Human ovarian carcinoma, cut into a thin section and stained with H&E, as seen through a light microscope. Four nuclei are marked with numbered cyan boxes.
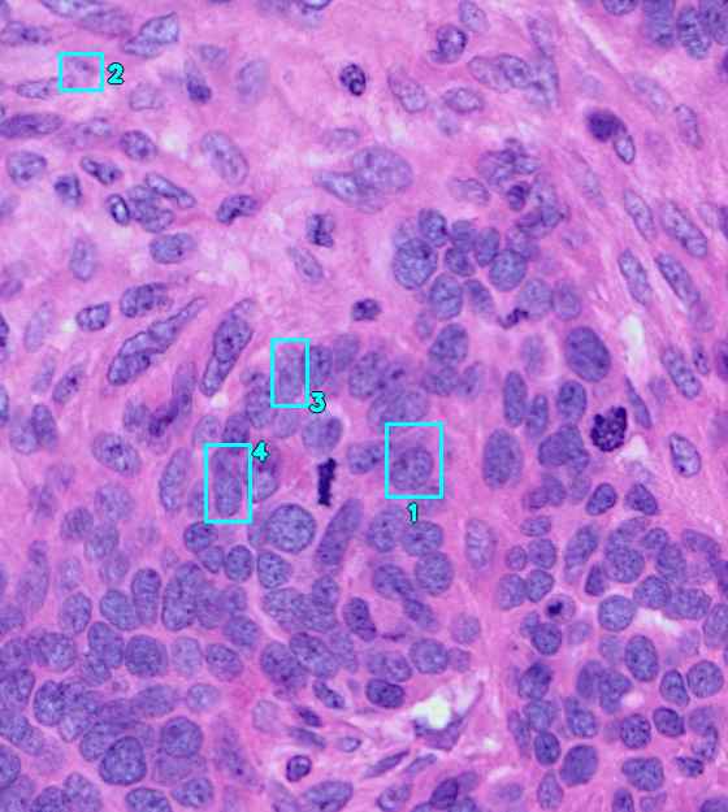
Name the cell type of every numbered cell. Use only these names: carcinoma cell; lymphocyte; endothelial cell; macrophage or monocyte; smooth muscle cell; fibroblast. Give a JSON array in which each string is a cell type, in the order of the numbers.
["carcinoma cell", "fibroblast", "carcinoma cell", "carcinoma cell"]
